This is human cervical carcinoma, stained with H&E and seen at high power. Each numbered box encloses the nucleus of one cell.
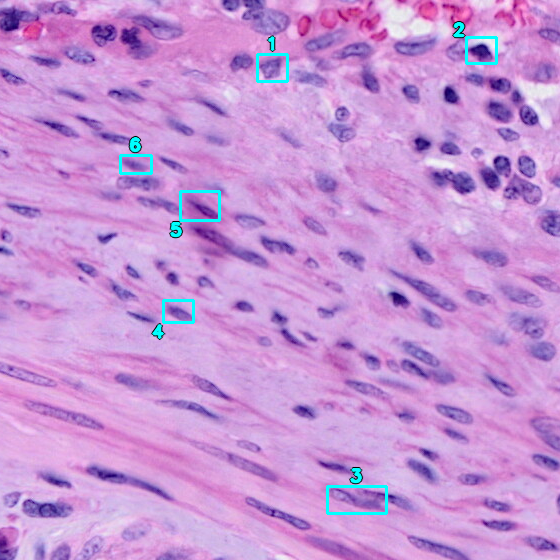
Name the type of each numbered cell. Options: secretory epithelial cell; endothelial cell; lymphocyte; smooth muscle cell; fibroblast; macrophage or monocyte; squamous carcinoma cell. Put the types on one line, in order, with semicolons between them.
endothelial cell; lymphocyte; smooth muscle cell; smooth muscle cell; smooth muscle cell; smooth muscle cell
